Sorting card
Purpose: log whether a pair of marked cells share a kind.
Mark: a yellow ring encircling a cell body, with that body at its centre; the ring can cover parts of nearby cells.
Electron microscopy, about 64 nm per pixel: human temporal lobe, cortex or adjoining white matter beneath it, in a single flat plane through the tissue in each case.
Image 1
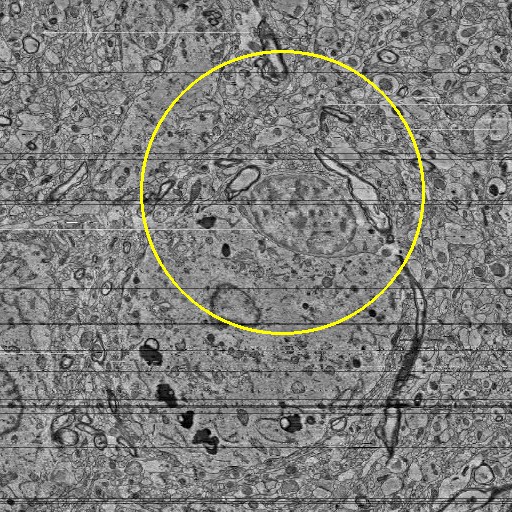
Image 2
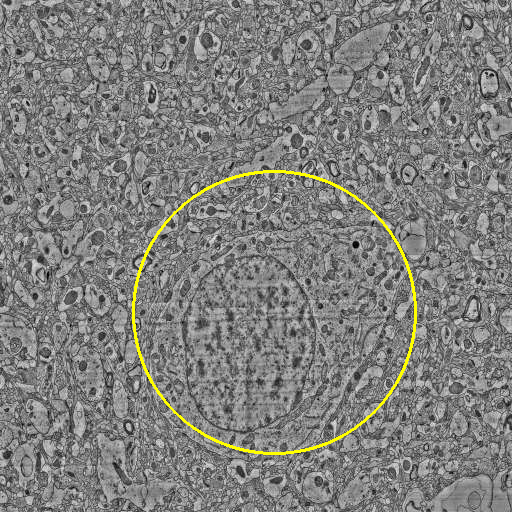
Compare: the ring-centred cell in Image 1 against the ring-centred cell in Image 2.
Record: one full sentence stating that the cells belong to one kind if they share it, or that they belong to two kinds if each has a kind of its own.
Across Images 1 and 2, the two ring-centred cells belong to two kinds.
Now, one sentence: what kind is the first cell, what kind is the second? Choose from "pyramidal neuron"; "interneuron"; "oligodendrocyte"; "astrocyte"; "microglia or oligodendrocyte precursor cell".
The first picture has an oligodendrocyte at its ring centre, and the second has an interneuron.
